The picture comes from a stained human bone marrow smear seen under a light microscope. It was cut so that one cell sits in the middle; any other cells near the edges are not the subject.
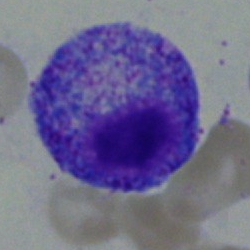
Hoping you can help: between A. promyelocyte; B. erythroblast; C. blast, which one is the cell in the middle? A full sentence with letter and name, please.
The correct response is option A, naming the cell in the middle as a promyelocyte.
